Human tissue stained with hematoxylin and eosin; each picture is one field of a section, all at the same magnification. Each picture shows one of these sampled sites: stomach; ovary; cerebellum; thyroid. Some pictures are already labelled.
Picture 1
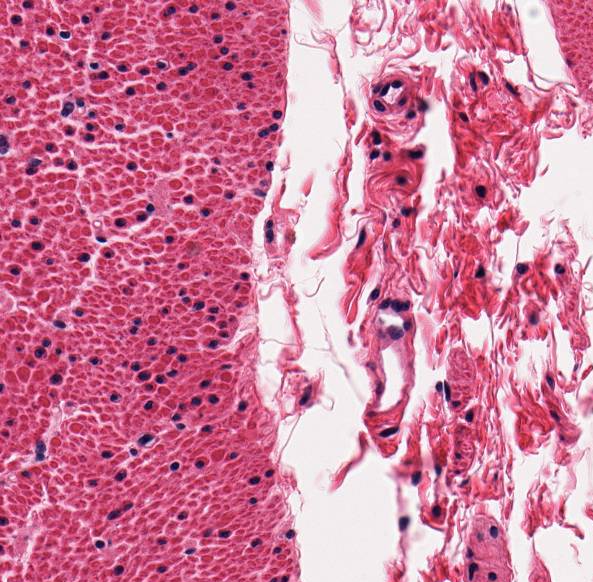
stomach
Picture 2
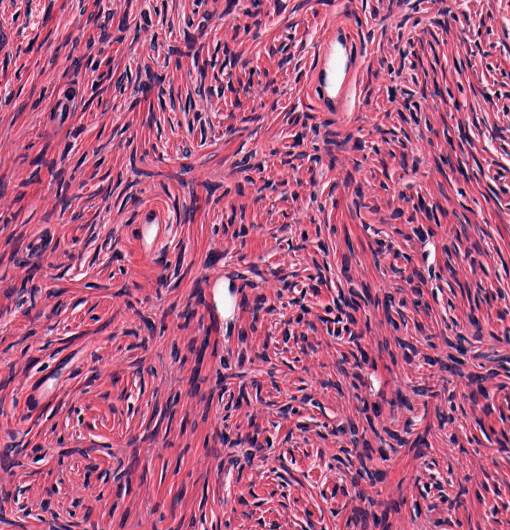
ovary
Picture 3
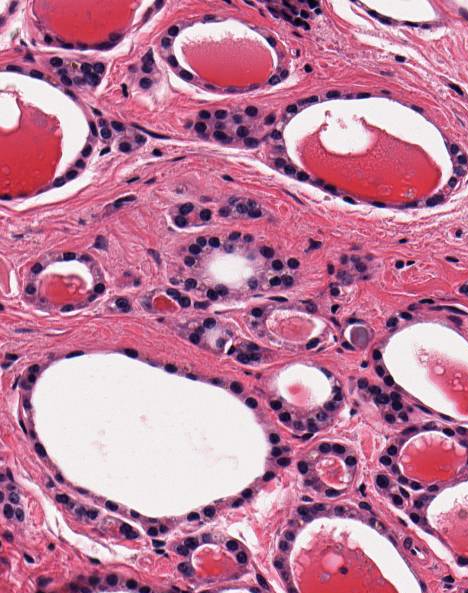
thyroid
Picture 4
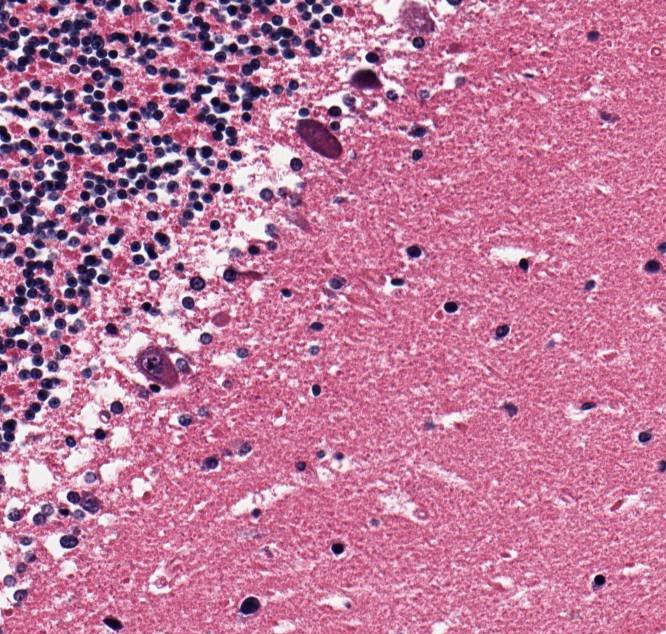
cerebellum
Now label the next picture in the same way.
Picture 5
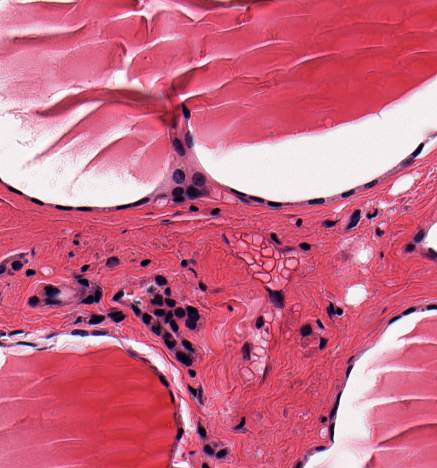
thyroid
